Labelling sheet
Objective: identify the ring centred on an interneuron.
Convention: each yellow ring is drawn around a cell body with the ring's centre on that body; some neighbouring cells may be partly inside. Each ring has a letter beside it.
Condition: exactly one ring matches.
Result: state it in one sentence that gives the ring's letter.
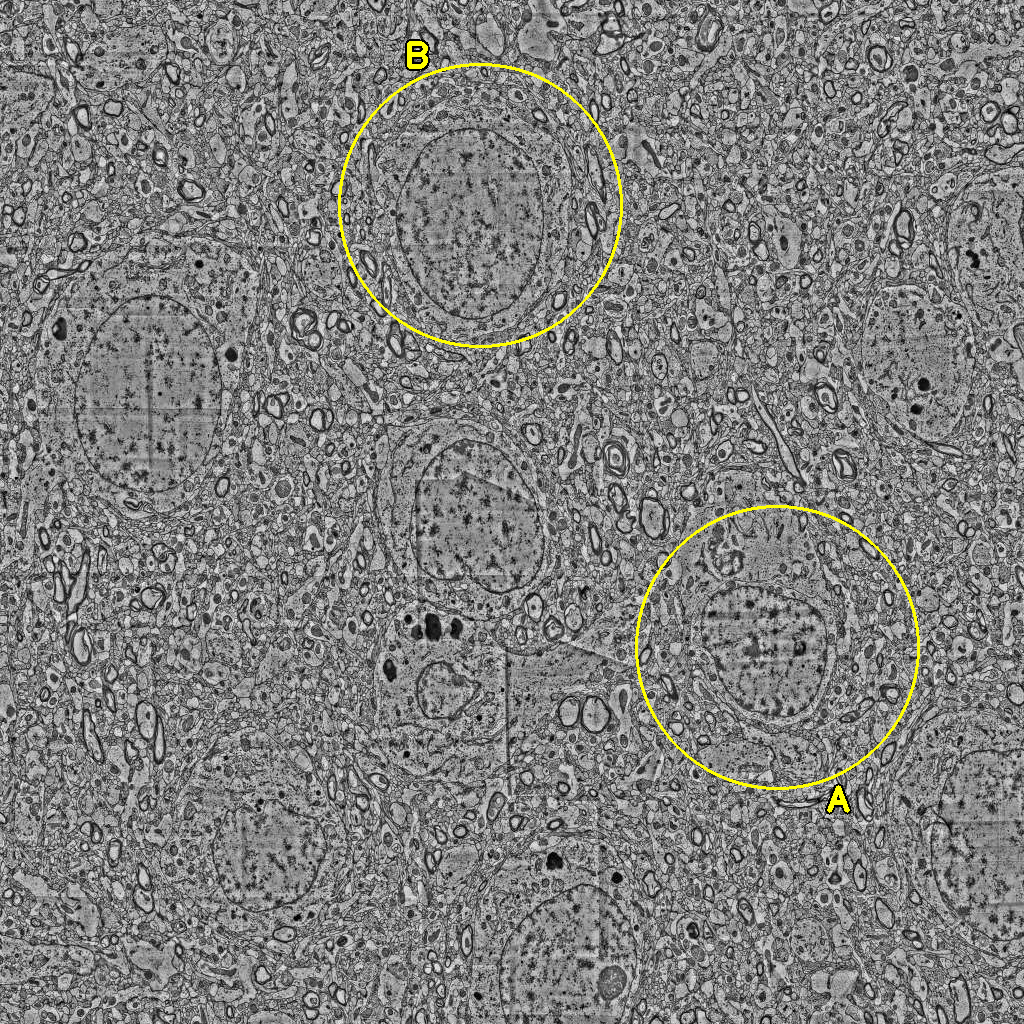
It lies at the centre of ring A.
